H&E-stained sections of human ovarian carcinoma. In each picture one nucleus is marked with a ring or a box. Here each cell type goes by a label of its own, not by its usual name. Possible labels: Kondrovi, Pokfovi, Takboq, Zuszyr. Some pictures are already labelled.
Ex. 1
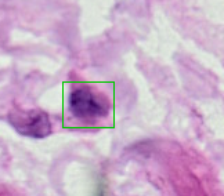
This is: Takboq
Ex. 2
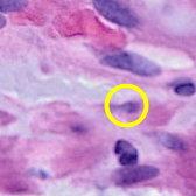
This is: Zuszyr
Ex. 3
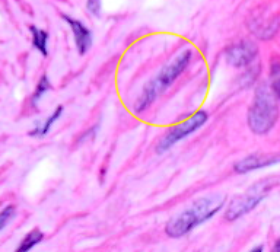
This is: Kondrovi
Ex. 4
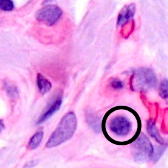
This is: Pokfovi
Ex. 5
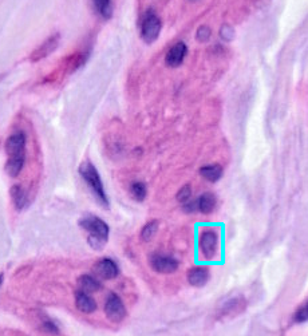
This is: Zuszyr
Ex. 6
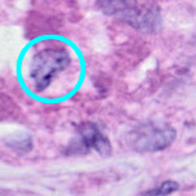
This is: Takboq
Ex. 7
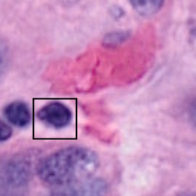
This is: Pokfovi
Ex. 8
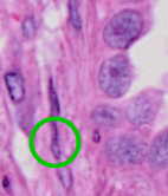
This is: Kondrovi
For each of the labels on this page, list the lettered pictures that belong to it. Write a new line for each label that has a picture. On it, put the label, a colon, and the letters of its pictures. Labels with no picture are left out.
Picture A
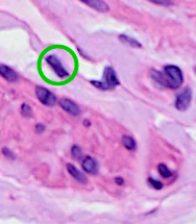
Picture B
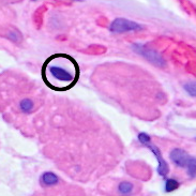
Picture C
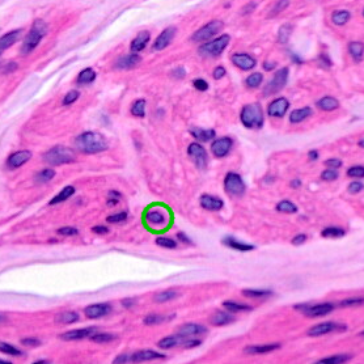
Kondrovi: A
Pokfovi: B
Zuszyr: C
